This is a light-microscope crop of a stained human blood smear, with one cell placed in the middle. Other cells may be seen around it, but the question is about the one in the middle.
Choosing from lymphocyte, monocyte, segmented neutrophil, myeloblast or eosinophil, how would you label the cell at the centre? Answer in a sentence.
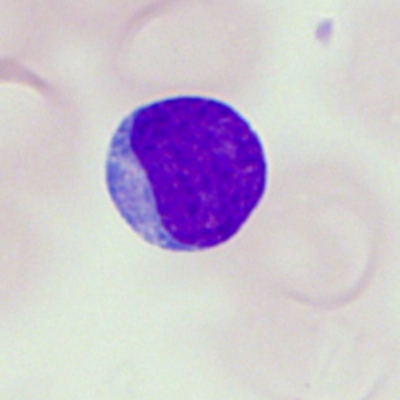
In the centre of this crop there is a myeloblast.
